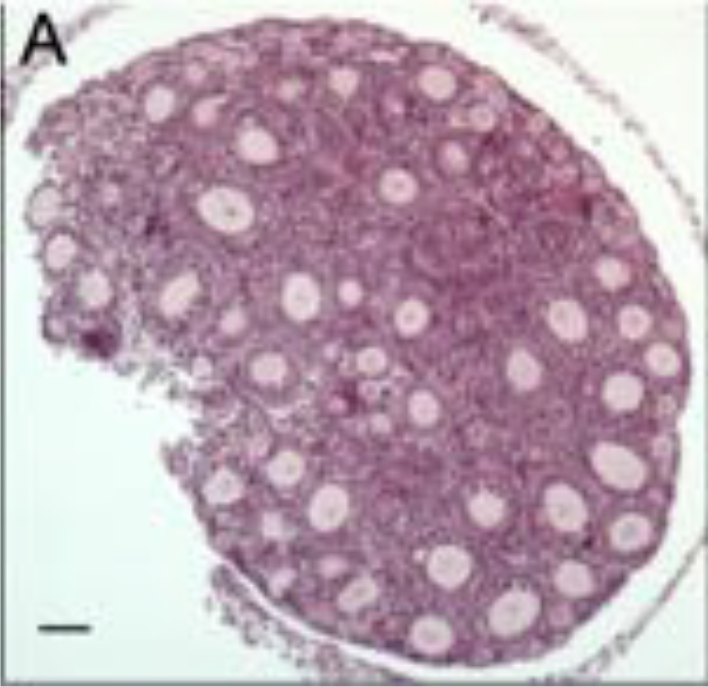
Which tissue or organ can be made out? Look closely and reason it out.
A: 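Ovaries. An oval organ section packed with many pale round oocytes of varying size. Pink-purple stroma between the oocytes.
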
